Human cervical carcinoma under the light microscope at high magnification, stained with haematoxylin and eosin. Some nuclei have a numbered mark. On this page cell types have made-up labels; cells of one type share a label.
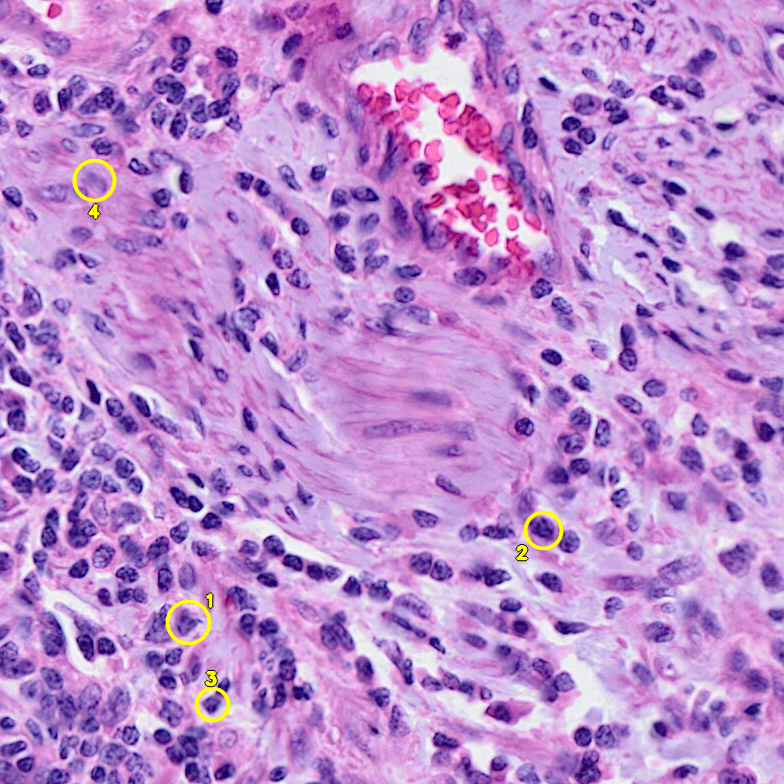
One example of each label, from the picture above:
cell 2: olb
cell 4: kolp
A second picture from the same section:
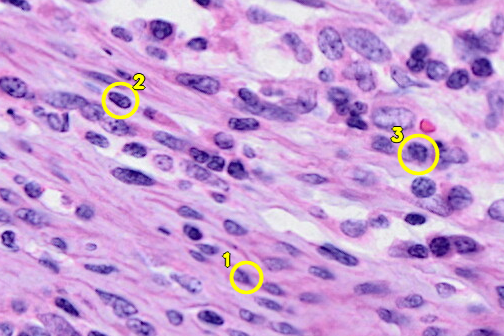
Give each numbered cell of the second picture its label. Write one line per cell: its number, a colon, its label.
1: kolp
2: olb
3: olb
